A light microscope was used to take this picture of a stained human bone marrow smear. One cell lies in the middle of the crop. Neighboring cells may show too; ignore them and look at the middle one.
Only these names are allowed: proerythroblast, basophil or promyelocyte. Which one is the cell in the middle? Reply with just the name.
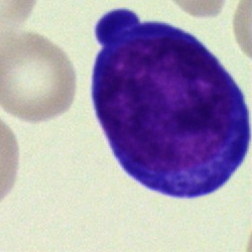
proerythroblast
